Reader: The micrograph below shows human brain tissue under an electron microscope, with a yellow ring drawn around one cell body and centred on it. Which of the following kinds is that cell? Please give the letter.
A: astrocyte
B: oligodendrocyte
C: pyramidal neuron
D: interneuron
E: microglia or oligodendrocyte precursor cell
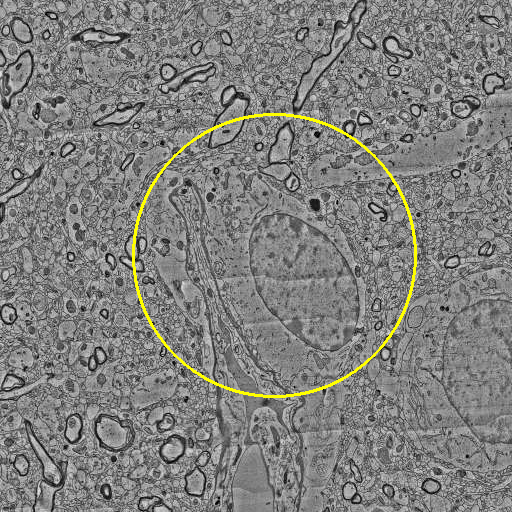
E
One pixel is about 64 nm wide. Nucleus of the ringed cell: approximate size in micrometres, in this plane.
Roughly 10 micrometres long and 6 micrometres wide; in this plane the nucleus is clearly longer than it is wide.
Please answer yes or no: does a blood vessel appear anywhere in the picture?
Yes, one appears.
